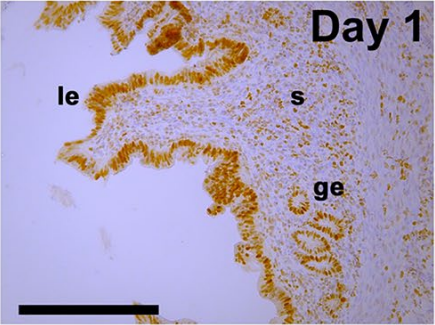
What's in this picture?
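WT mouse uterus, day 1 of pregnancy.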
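The luminal epithelium is a tall columnar layer thrown into folds, with strong brown staining throughout the layer. The underlying stroma is densely cellular and many of its nuclei are brown. Glands cut in cross-section deeper in the wall show brown-stained epithelial nuclei around small lumina.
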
